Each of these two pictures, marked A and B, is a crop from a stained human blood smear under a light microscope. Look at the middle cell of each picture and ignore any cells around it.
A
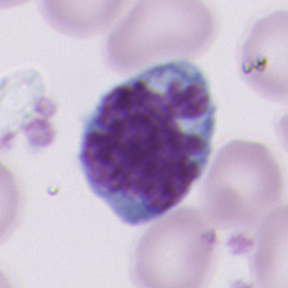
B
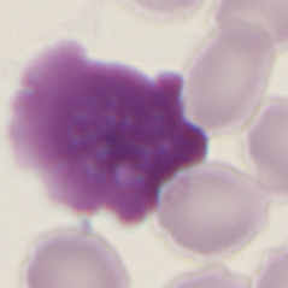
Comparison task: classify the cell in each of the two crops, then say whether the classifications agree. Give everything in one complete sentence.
No, in this case crop A shows a typical lymphocyte, and crop B shows a smudge cell.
